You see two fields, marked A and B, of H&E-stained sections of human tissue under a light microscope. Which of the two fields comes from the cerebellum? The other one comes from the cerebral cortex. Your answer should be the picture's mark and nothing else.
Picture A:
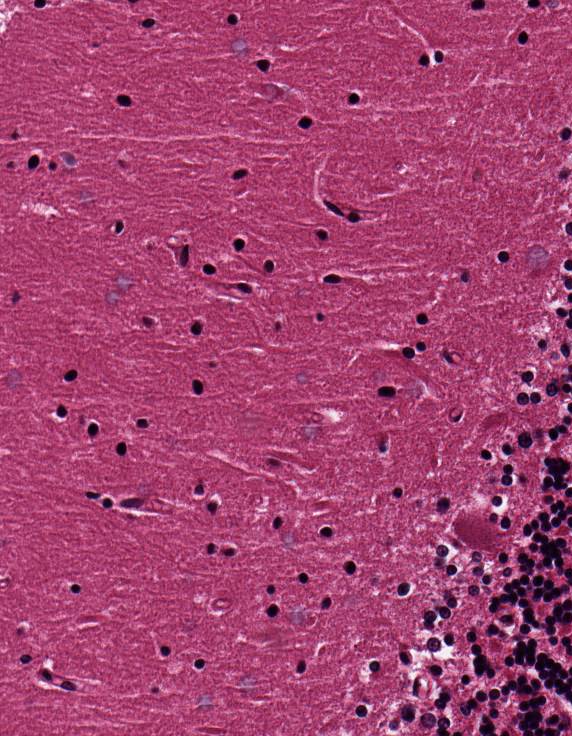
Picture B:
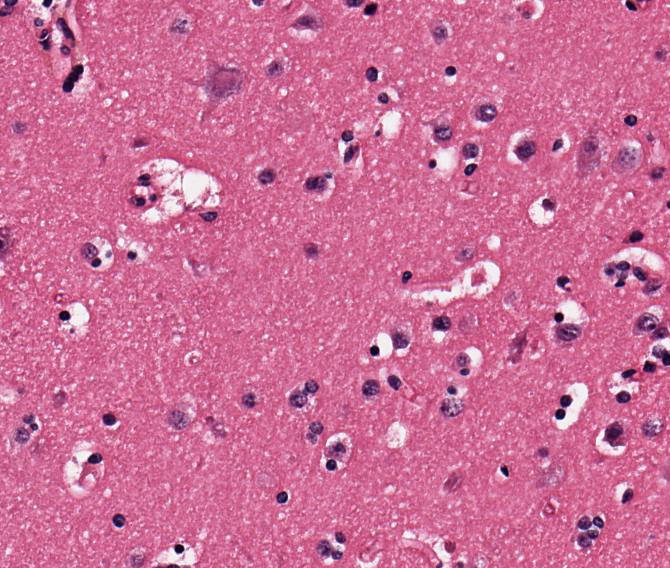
A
